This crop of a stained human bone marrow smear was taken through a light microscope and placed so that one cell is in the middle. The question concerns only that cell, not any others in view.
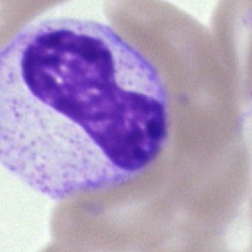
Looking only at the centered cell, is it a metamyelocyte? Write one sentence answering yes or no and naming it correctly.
Yes, the cell here in the middle is a metamyelocyte.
